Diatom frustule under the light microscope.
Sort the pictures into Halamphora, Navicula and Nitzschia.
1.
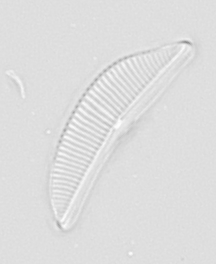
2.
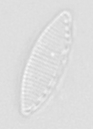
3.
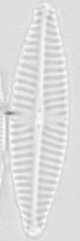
Halamphora: 1
Nitzschia: 2
Navicula: 3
